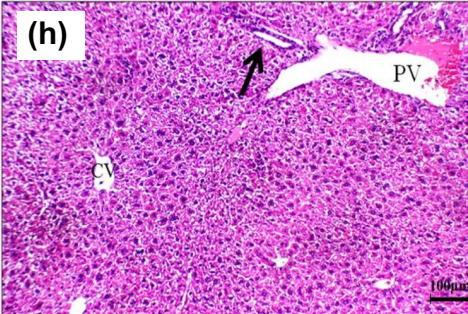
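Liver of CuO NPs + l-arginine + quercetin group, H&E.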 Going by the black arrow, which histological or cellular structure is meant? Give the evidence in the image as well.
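Bile duct. A small elongated tube lined by cuboidal cells beside a large vein.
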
